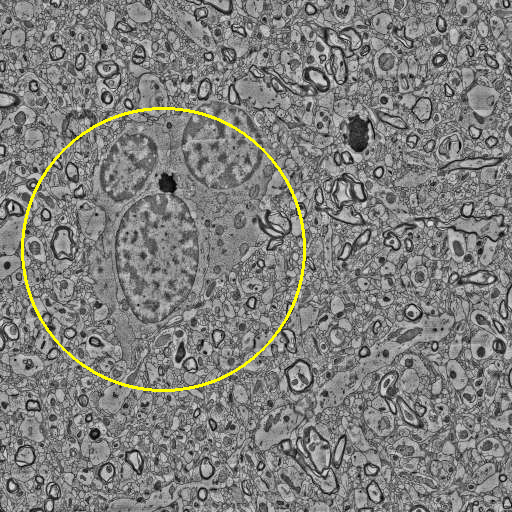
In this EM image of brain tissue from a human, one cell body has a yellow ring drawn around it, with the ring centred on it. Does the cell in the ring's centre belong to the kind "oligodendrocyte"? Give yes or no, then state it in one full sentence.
Yes, in the picture, the cell centred in the yellow ring belongs to that kind.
